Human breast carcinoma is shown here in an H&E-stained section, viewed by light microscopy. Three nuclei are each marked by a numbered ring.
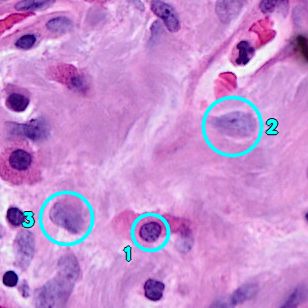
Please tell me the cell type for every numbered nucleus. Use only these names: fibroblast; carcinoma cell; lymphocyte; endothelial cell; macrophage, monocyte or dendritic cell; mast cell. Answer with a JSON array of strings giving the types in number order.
["mast cell", "fibroblast", "fibroblast"]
